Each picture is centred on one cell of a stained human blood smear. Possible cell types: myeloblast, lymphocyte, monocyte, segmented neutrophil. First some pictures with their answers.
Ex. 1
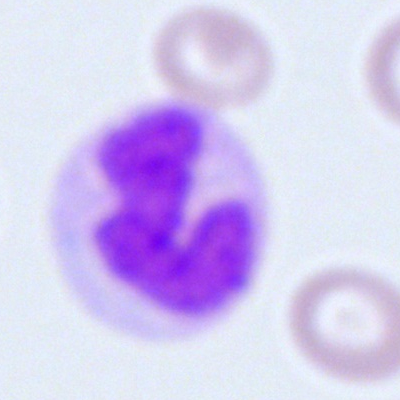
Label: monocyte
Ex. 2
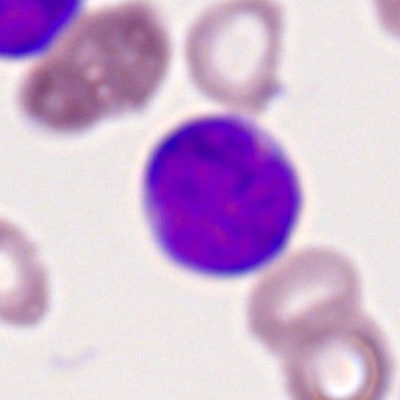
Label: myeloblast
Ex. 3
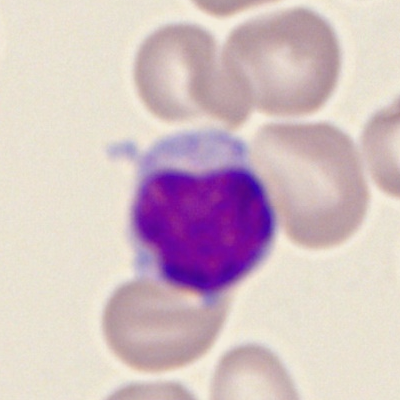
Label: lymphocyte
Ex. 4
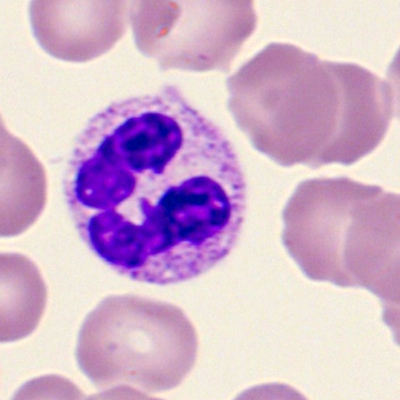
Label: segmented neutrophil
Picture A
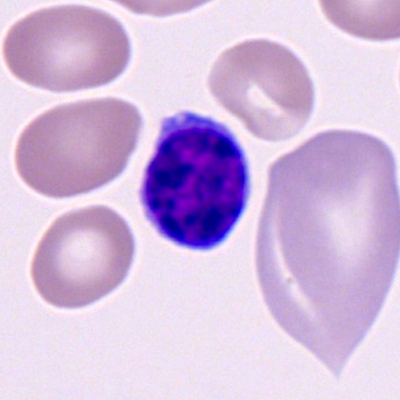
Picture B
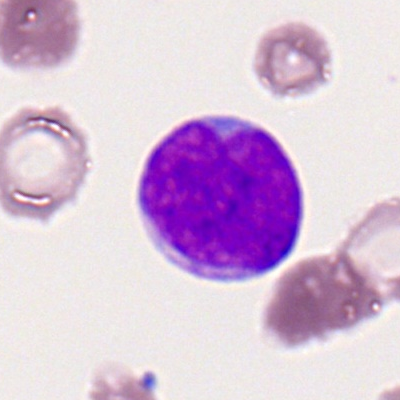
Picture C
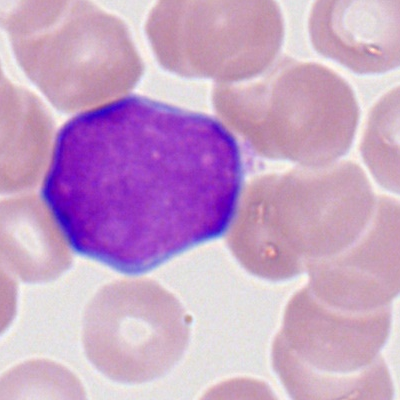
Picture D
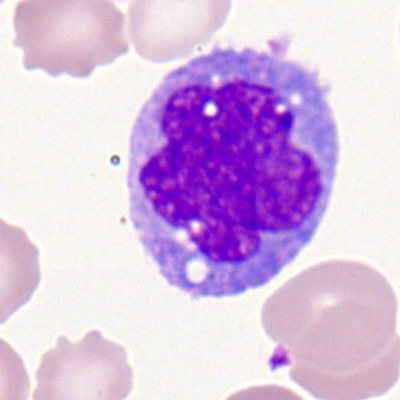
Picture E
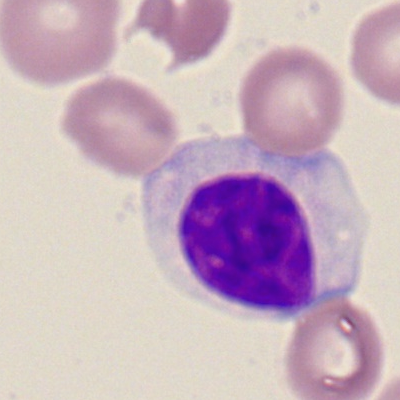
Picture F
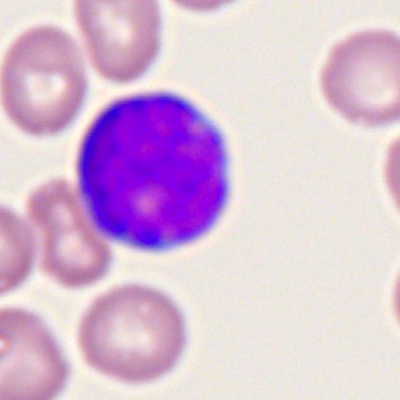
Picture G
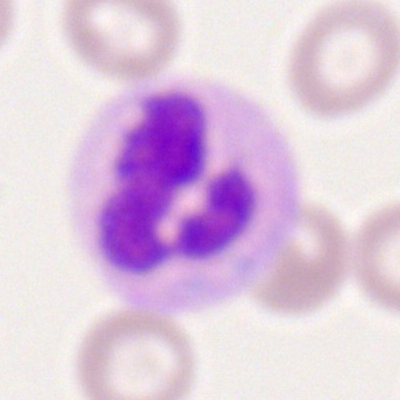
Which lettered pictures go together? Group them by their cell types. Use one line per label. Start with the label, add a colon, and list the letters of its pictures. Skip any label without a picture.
myeloblast: B, C
lymphocyte: A, E, F
monocyte: D
segmented neutrophil: G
